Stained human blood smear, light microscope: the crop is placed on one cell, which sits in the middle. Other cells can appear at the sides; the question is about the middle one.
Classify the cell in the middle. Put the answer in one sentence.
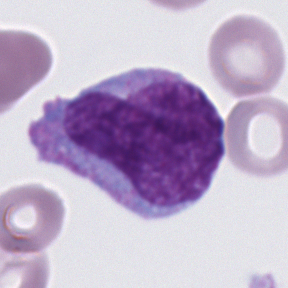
Within this crop, an atypical promyelocyte occupies the central position.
